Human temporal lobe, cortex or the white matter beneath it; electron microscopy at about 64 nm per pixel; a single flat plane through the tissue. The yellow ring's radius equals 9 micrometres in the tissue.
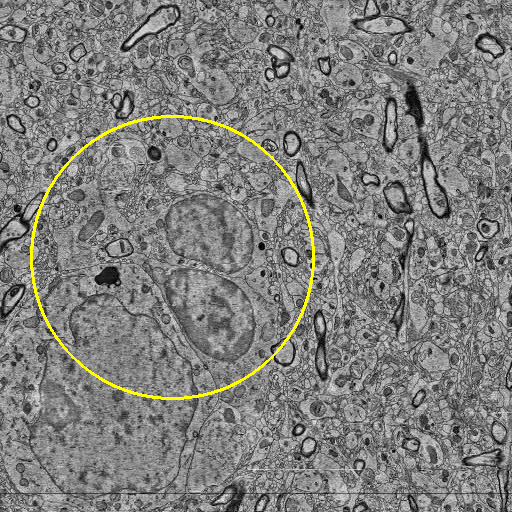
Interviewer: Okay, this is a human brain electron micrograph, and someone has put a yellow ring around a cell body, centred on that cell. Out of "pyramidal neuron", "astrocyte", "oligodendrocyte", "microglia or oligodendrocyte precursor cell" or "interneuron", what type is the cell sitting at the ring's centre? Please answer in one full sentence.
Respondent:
The cell at the centre of the yellow ring in this picture is an oligodendrocyte.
